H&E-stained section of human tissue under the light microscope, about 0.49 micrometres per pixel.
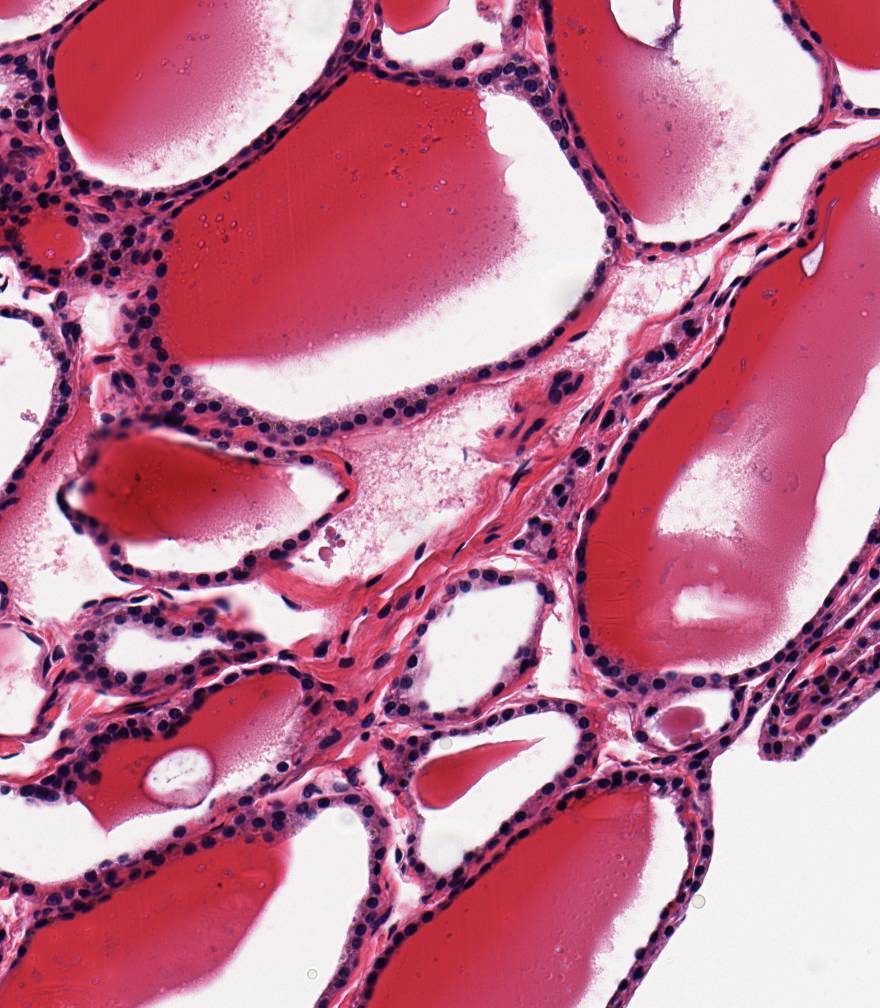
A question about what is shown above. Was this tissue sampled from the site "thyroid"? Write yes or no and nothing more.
yes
